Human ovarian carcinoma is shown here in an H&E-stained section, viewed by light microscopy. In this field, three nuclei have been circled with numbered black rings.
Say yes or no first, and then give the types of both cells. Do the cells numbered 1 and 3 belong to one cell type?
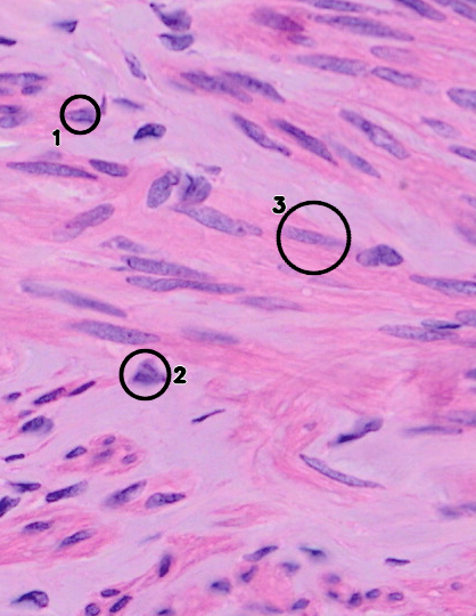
Yes, briefly put, cells 1 and 3 are both smooth muscle cells.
